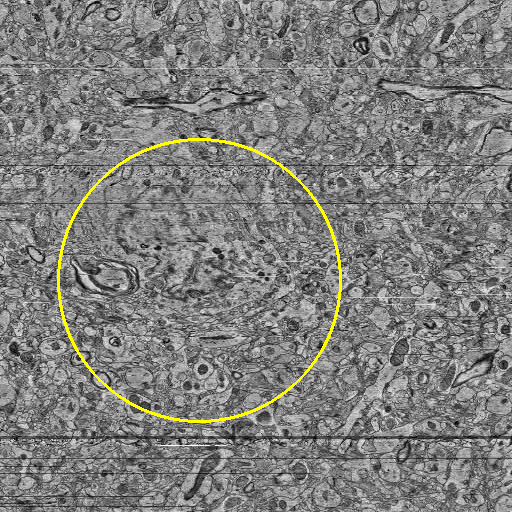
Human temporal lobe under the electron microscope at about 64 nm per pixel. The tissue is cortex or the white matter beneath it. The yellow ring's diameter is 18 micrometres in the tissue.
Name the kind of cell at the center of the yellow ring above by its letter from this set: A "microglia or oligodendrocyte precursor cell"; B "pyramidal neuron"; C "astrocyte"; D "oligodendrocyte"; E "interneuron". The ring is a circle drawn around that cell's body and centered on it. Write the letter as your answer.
E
